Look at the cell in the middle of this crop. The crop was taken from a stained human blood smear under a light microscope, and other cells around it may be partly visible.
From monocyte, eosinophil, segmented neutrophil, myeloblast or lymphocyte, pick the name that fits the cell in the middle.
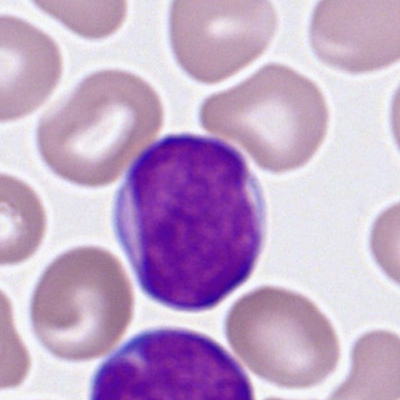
myeloblast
